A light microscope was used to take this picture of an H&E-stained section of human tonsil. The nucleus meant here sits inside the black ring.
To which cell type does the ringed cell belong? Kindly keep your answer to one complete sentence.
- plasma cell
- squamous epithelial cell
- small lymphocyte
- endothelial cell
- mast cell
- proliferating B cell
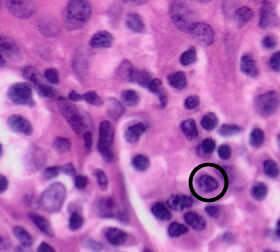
Labelled by cell type, the ringed cell is a plasma cell.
